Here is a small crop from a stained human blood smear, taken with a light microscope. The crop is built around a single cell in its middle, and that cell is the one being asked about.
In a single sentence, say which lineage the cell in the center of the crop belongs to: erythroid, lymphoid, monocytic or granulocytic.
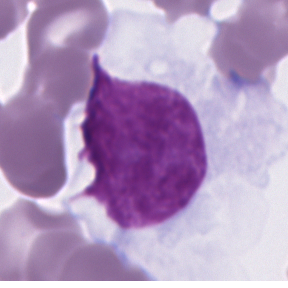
The lineage to which the central cell belongs is the lymphoid lineage.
